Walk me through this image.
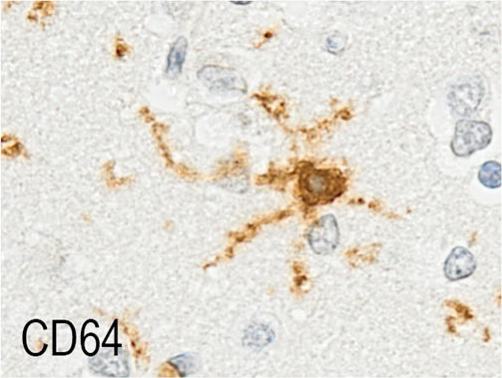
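The cell body is small with a dark brown rim around a paler nucleus. Several processes branch out from it, thick near the body and thinning towards their tips, some ending in small brown granules. Scattered brown fragments of processes from neighbouring cells appear at the edges of the field.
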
